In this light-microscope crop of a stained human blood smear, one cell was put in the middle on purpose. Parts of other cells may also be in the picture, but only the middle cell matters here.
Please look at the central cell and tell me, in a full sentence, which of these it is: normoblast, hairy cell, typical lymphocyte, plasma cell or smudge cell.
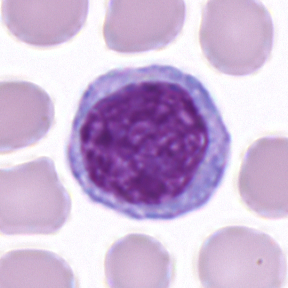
Located at the centre of the crop is a plasma cell.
